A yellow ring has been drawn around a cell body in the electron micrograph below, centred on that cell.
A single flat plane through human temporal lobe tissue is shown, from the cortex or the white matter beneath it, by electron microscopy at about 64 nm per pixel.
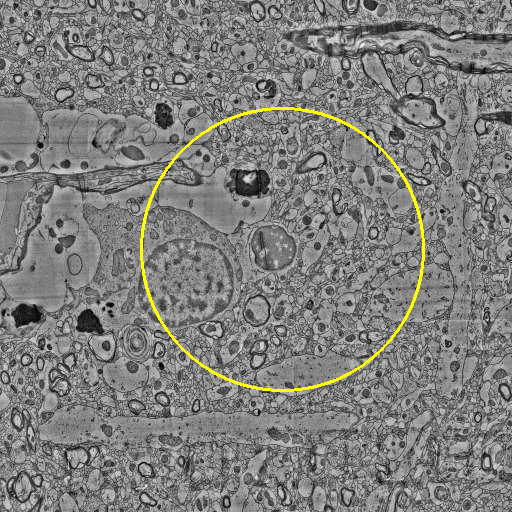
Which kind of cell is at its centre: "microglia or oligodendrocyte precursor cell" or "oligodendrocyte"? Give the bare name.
microglia or oligodendrocyte precursor cell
